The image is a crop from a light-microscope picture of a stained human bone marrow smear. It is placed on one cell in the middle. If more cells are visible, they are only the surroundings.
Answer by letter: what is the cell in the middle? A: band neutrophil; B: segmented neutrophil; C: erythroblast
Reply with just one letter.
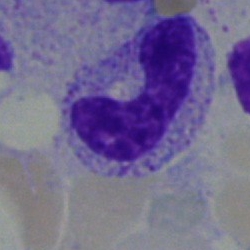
A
